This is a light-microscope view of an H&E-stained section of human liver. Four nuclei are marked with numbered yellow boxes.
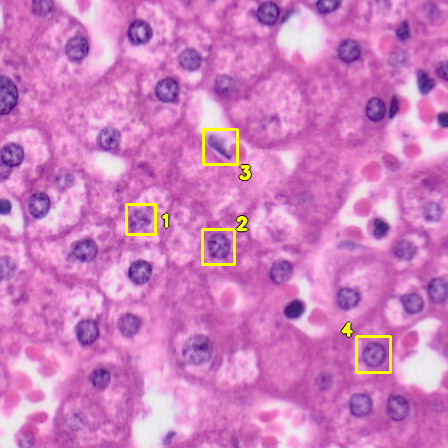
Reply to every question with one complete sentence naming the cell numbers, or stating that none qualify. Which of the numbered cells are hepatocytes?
Cells 1, 2 and 4 share one type; they are hepatocytes.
